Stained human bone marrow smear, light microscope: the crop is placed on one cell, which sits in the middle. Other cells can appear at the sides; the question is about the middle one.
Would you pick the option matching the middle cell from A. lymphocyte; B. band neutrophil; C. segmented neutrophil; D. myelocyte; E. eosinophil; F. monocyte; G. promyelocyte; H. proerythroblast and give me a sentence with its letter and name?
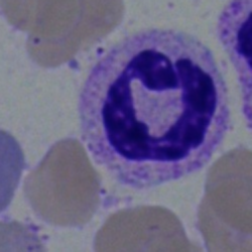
The correct option, C, names the middle cell as a segmented neutrophil.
